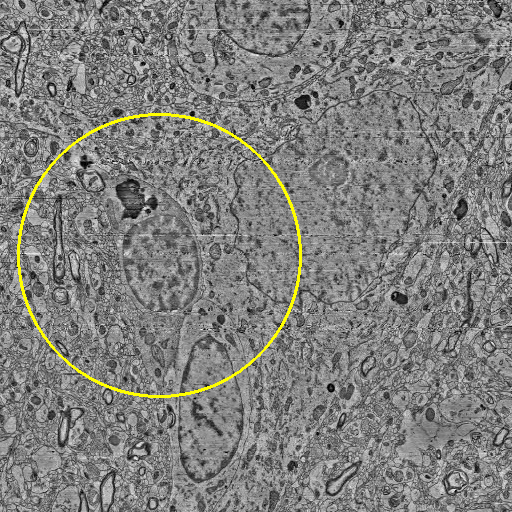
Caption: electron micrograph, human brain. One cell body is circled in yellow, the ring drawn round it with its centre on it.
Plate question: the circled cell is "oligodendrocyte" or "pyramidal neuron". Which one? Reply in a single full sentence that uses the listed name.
The yellow ring on the plate is centred on an oligodendrocyte, going by the listed names.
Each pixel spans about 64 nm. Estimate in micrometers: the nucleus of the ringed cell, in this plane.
Roughly 6 by 5 micrometres is the size of the nucleus in this plane.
